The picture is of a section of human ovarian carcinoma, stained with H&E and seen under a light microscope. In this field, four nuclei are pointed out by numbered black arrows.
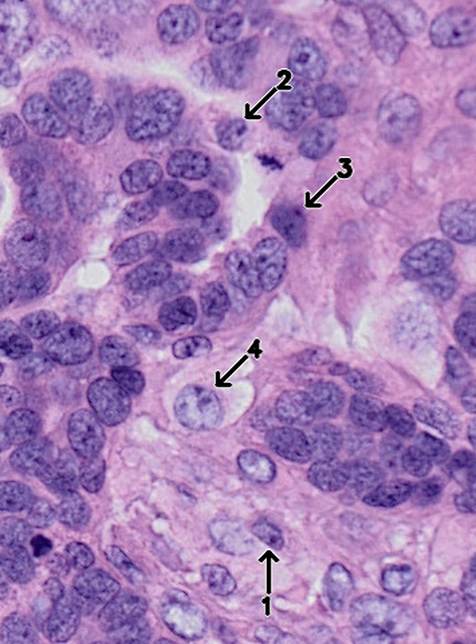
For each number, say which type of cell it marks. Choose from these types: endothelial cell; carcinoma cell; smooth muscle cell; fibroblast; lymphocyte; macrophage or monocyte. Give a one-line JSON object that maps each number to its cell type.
{"1": "fibroblast", "2": "macrophage or monocyte", "3": "carcinoma cell", "4": "fibroblast"}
